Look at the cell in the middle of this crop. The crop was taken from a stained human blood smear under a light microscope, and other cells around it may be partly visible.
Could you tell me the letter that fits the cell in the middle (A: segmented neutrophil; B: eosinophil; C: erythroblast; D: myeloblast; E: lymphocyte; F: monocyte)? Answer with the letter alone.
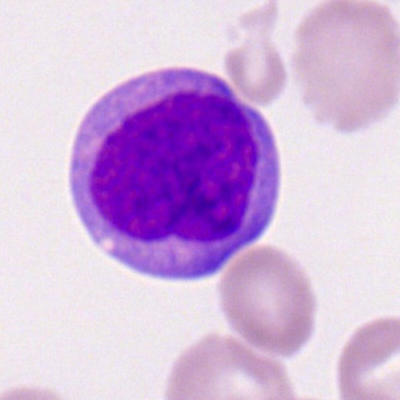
F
